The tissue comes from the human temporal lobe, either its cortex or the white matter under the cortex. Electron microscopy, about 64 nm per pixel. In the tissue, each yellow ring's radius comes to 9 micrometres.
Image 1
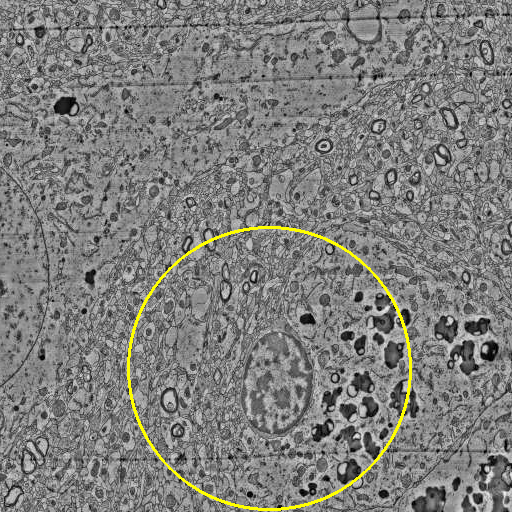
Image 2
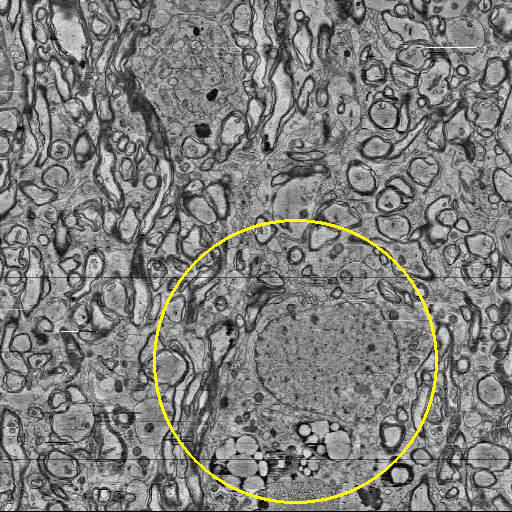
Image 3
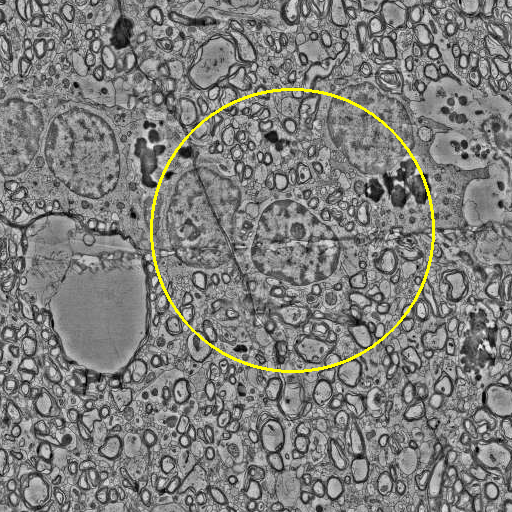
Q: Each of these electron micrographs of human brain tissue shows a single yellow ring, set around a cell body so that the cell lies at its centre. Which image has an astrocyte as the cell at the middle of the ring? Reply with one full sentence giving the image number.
In image 2, the cell lying at the ring's centre is the requested one.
